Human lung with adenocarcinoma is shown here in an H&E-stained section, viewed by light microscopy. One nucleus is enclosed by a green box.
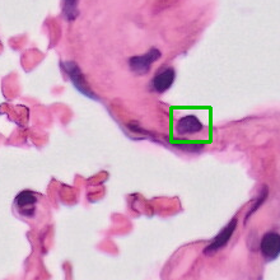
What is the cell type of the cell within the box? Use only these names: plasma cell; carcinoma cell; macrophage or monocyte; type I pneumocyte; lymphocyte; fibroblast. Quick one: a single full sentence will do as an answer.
Among the cells in this section, the cell within the box is a type I pneumocyte.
